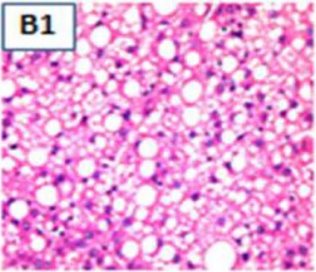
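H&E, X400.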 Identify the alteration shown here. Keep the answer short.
Severe steatosis.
